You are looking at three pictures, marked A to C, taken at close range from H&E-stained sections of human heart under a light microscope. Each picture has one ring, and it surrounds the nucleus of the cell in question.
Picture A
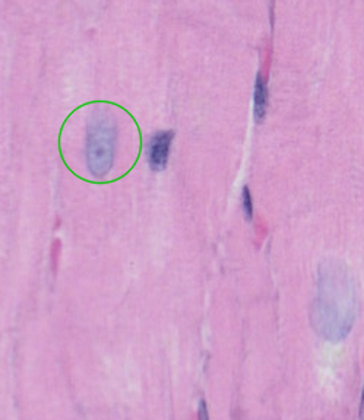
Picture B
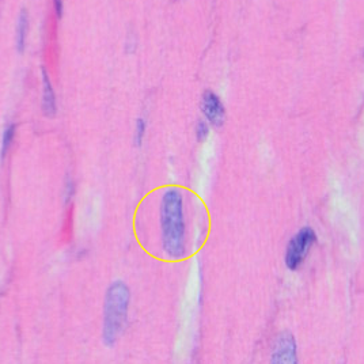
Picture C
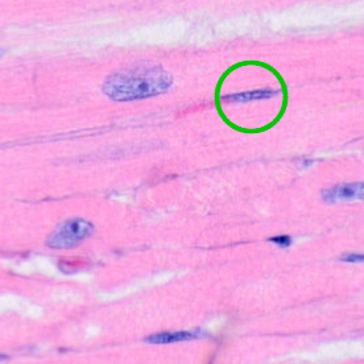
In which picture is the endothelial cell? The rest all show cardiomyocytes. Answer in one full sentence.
Picture C is the one that shows the endothelial cell.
